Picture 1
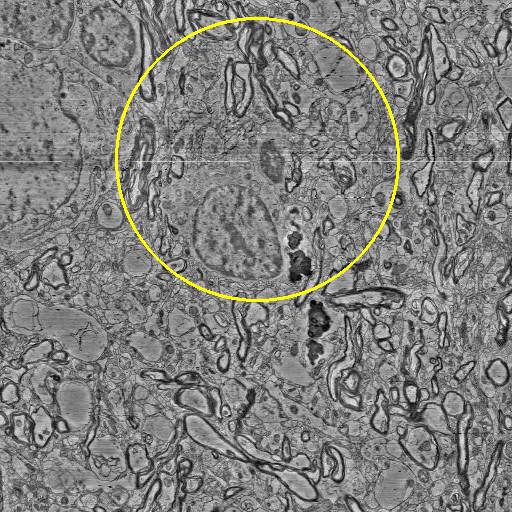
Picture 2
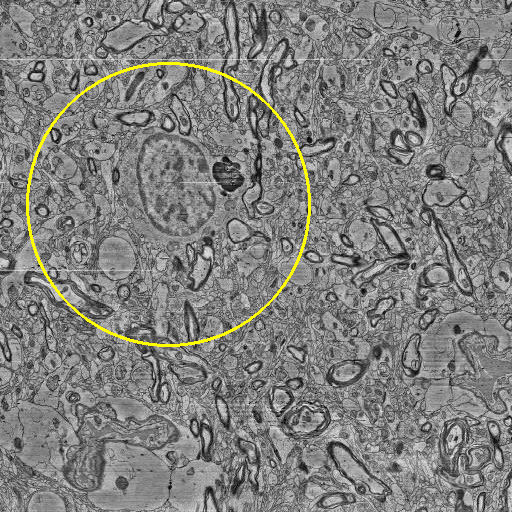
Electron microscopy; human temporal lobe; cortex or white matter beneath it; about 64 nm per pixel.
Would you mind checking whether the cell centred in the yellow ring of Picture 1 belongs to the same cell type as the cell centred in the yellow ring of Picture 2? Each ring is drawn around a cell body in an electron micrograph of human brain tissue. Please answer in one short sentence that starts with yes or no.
Yes, both cells are of the same type.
